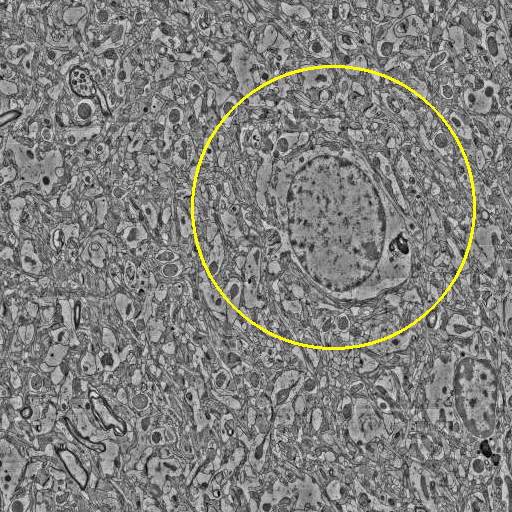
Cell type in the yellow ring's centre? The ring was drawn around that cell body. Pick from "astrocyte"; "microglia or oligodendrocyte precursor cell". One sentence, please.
The ringed cell body is that of an astrocyte.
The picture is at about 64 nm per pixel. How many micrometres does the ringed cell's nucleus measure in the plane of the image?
About 9 by 6 micrometers for the nucleus, in this plane.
